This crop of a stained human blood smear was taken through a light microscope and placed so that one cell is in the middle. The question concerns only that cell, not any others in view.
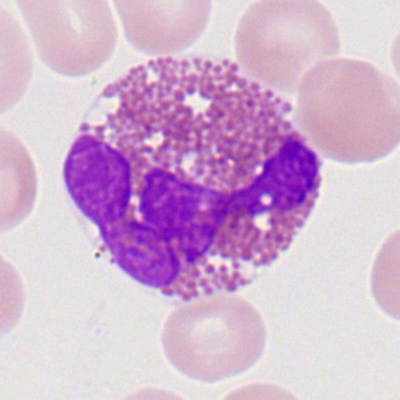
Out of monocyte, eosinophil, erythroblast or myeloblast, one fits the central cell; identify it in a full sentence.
In this crop, the cell at the very middle is an eosinophil.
